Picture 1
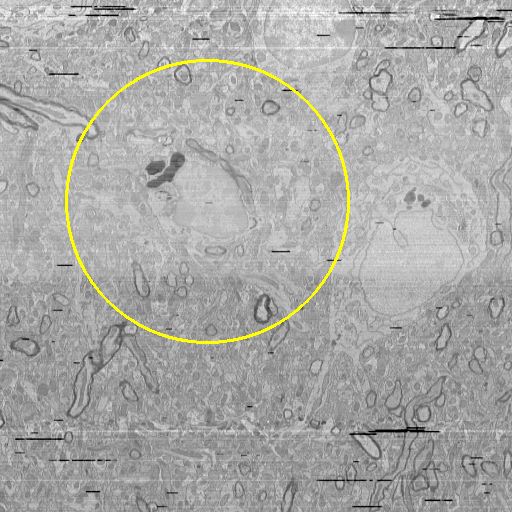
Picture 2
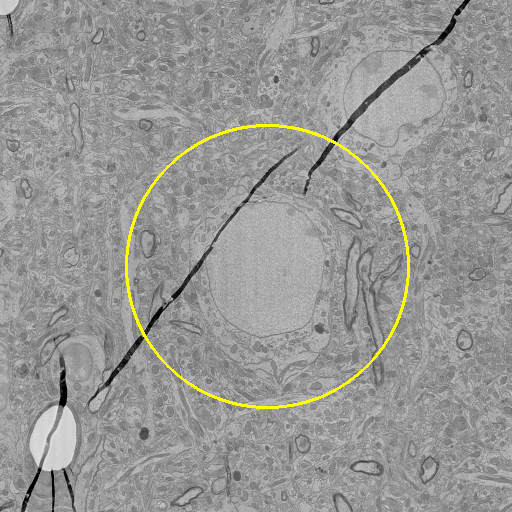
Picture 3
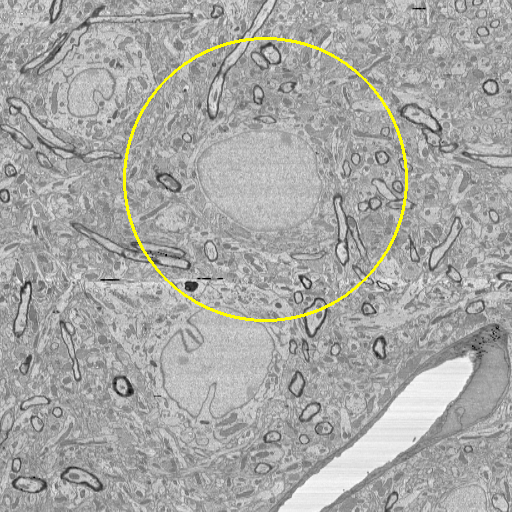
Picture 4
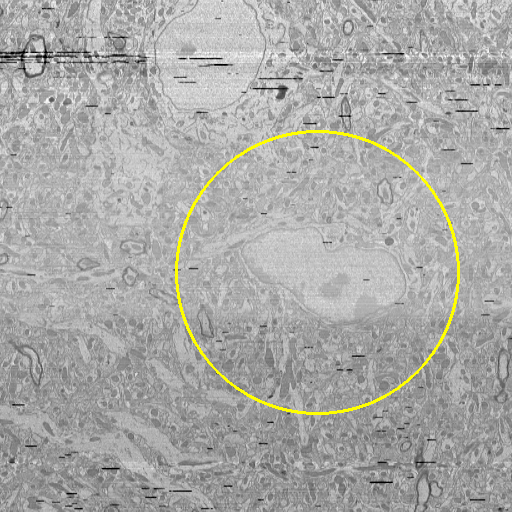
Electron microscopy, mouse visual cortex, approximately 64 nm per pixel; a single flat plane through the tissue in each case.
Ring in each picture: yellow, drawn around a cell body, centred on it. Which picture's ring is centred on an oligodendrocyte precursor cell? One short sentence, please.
Picture 4 is the one.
